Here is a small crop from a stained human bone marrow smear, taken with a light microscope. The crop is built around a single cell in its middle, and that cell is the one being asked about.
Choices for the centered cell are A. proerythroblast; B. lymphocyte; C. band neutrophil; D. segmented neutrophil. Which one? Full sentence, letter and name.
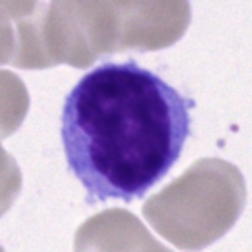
Correctly, option B names the cell in the middle a lymphocyte.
